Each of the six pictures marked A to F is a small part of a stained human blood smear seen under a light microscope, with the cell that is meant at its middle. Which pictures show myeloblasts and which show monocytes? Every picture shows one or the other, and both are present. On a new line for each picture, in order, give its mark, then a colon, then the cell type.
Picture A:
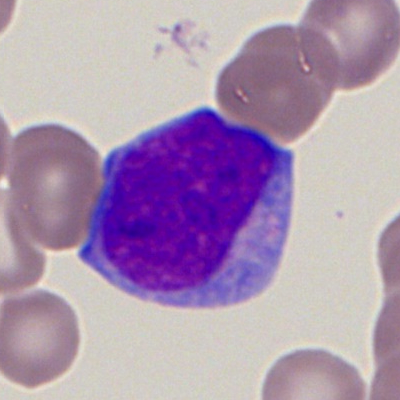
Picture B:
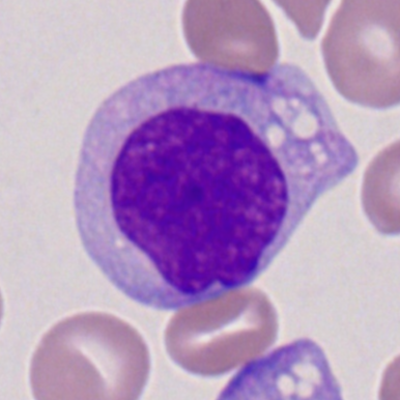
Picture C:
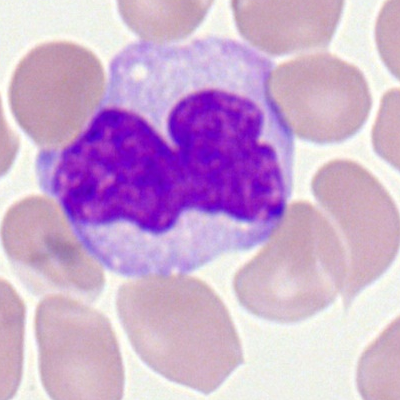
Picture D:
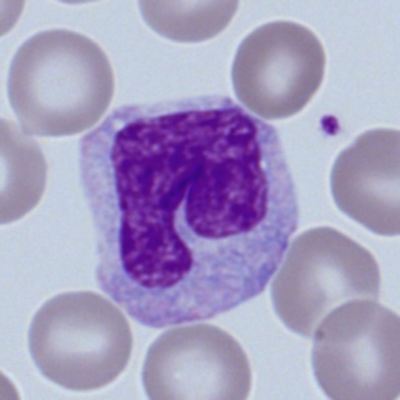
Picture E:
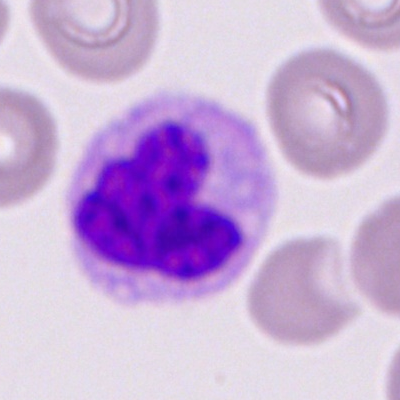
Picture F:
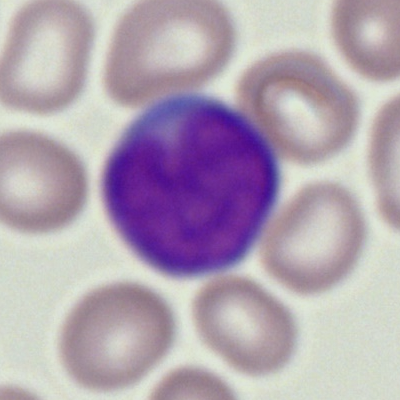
A: myeloblast
B: monocyte
C: monocyte
D: monocyte
E: monocyte
F: myeloblast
